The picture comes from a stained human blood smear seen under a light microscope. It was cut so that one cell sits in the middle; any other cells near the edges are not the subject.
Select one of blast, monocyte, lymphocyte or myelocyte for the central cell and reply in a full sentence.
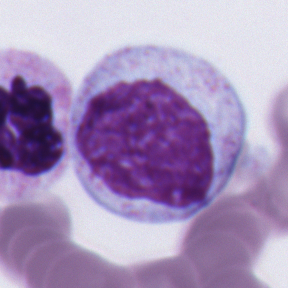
As for the cell in the middle, it is a myelocyte.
